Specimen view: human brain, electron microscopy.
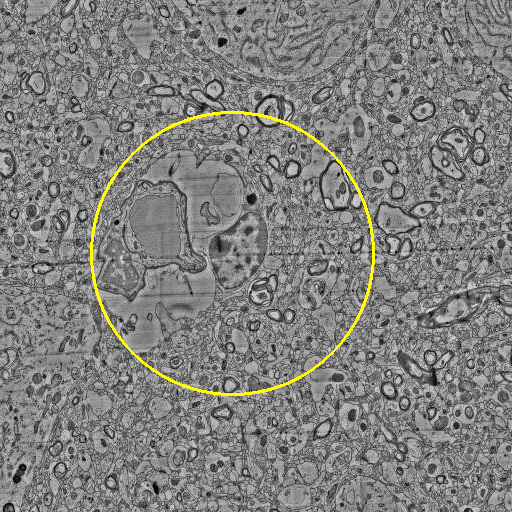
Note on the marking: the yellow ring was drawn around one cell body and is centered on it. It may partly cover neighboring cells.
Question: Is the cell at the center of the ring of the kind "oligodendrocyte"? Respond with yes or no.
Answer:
no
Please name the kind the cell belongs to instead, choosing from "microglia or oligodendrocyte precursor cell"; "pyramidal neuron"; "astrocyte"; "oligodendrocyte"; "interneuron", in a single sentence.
The cell circled by the yellow ring is a microglial cell or oligodendrocyte precursor cell.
